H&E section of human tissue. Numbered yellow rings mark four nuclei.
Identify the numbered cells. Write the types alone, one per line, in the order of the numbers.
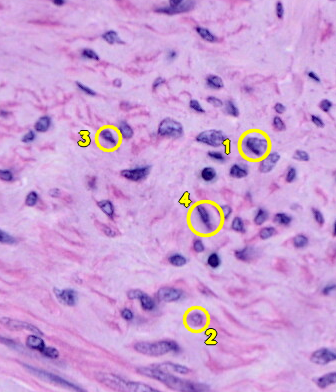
fibroblast
smooth muscle cell
smooth muscle cell
smooth muscle cell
